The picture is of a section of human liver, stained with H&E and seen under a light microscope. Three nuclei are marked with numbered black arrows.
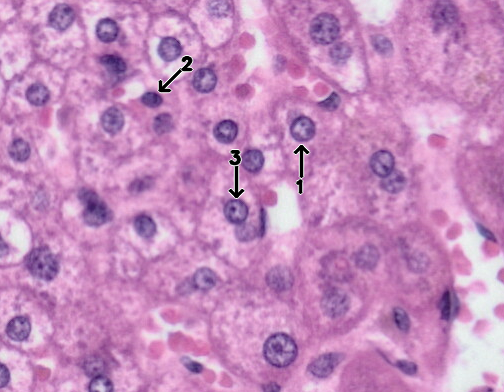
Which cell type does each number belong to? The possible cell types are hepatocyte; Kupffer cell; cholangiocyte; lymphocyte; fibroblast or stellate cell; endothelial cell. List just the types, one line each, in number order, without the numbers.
hepatocyte
lymphocyte
hepatocyte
